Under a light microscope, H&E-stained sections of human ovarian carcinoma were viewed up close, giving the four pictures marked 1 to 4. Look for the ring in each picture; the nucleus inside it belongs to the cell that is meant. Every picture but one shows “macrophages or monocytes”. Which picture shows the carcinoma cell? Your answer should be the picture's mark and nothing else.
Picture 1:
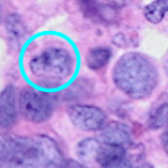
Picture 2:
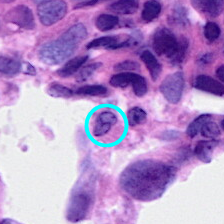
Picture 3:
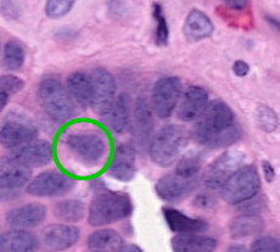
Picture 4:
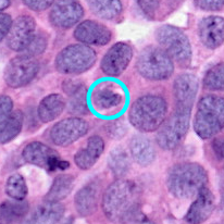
3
